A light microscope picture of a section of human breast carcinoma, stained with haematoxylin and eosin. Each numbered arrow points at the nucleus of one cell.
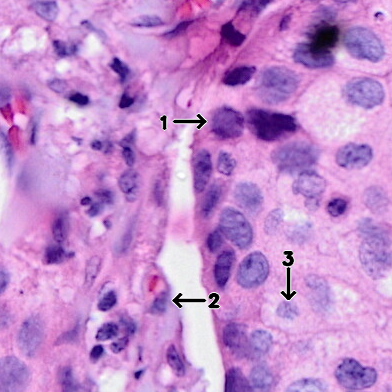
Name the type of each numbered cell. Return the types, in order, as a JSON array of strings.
["carcinoma cell", "endothelial cell", "carcinoma cell"]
